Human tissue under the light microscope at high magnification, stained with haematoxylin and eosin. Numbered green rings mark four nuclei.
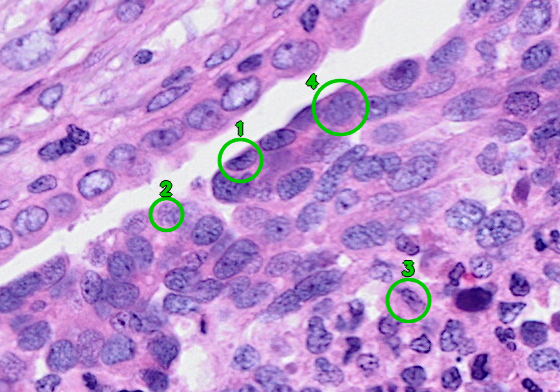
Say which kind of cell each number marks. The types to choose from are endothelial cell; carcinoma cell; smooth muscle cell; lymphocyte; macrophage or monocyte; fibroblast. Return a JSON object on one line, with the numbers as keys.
{"1": "carcinoma cell", "2": "carcinoma cell", "3": "macrophage or monocyte", "4": "carcinoma cell"}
